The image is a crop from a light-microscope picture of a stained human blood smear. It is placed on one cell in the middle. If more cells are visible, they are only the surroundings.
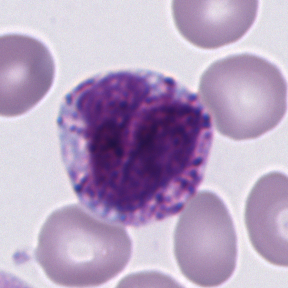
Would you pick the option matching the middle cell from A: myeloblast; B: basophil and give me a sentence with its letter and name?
Option B holds up: the cell in the middle is a basophil.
